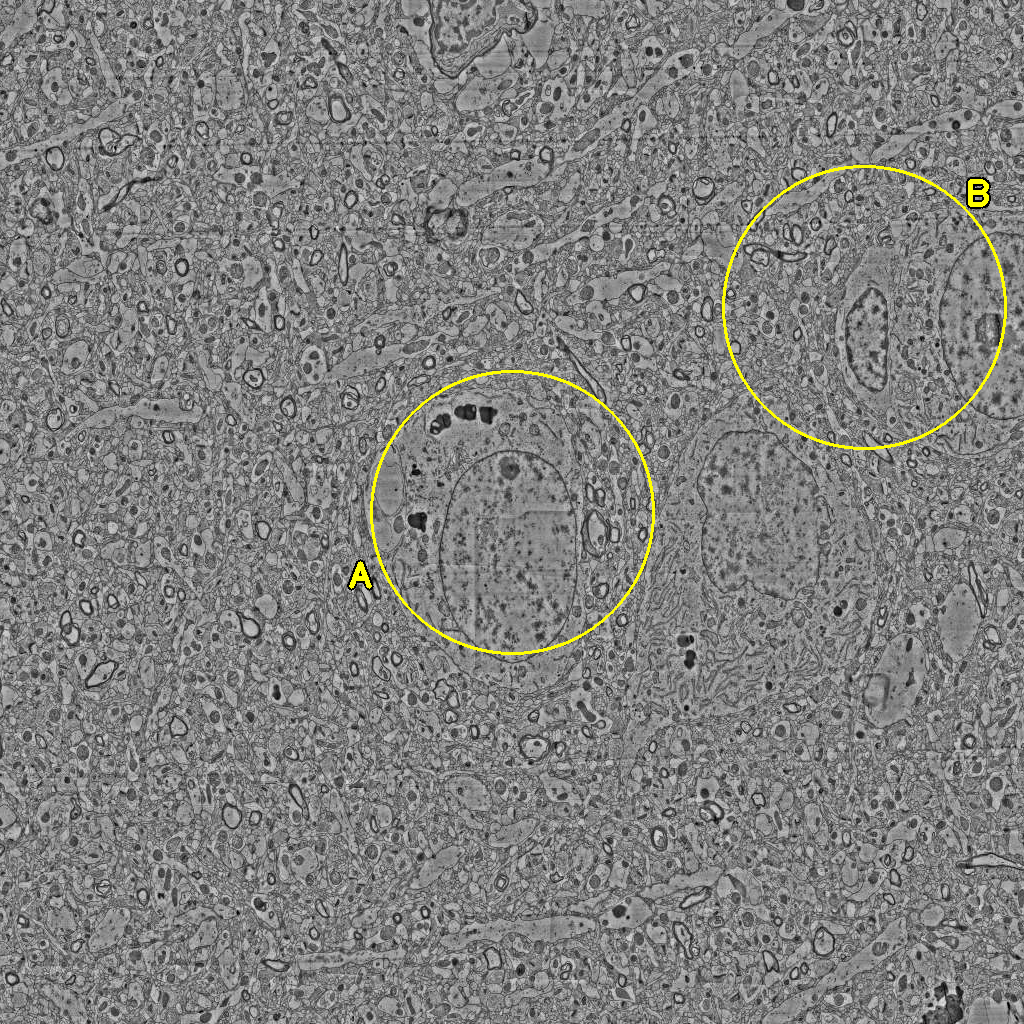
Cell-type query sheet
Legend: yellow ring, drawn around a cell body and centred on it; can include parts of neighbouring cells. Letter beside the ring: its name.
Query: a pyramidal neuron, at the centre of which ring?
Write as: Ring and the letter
Ring A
